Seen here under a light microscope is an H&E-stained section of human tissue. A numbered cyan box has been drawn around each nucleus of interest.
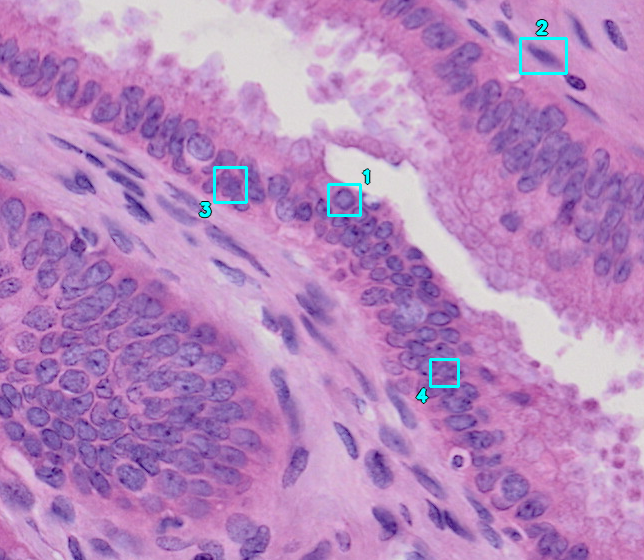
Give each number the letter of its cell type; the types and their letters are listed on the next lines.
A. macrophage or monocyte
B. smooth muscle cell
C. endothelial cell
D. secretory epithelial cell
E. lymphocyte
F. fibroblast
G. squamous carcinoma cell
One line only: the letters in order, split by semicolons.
D; F; D; D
